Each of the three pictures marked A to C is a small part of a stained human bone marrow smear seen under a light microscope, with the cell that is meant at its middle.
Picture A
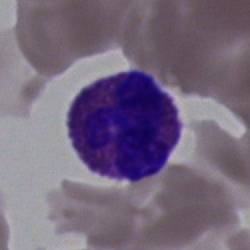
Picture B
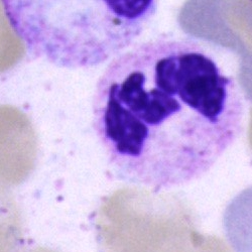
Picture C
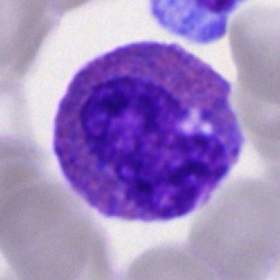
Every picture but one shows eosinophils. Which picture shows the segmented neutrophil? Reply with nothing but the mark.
B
